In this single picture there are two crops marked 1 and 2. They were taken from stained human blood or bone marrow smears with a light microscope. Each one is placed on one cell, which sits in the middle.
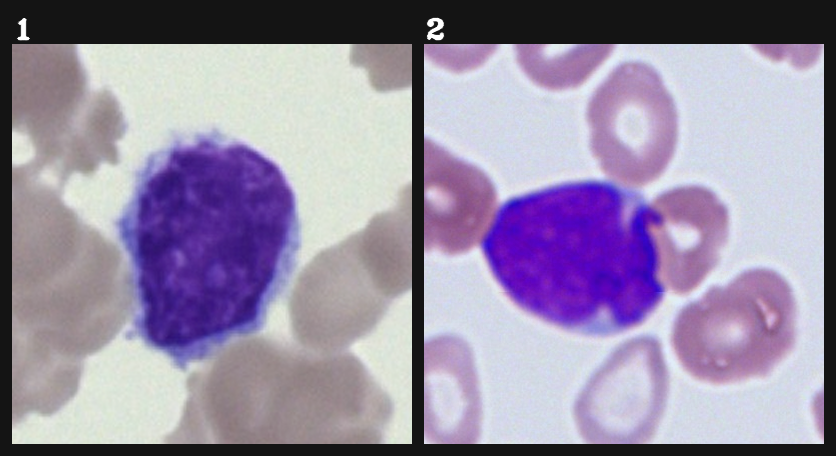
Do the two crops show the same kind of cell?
no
